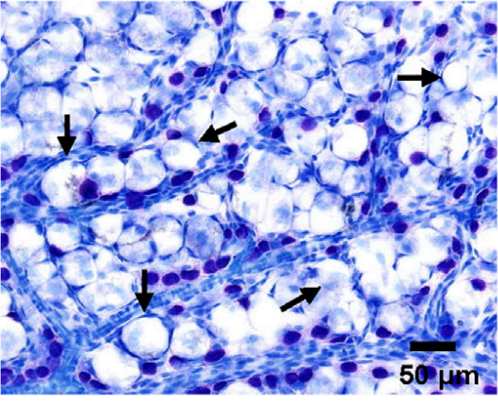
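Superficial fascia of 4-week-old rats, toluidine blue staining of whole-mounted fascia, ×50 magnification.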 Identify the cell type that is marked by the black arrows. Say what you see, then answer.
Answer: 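The arrows point to large rounded cells with pale, clear, empty-looking cytoplasm. These rounded cells lie packed in clusters between bands of blue-stained tissue.
Conclusion: Adipocytes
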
